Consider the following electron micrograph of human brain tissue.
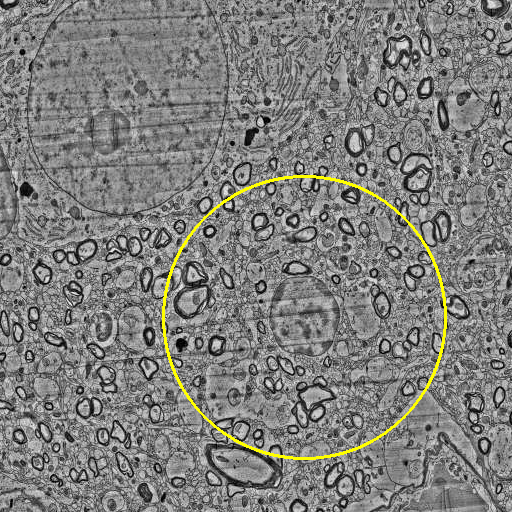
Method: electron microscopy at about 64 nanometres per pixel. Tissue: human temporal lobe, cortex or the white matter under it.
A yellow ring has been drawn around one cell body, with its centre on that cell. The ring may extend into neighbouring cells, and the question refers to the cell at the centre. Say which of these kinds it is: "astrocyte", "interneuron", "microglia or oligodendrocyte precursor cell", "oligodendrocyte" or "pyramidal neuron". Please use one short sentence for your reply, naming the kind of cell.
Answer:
The centre of the ring falls on a microglial cell or oligodendrocyte precursor cell.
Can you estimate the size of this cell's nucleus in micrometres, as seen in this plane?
In this plane, approximately 5 by 4 micrometers.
